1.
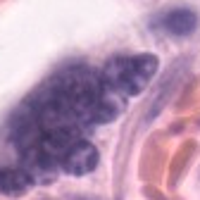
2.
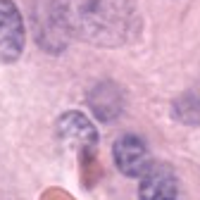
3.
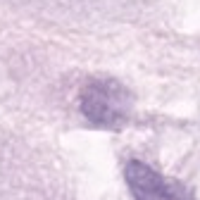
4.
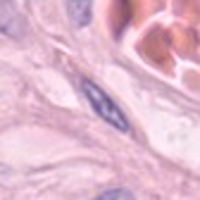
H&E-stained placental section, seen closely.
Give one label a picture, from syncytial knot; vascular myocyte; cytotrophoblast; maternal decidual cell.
1. syncytial knot
2. cytotrophoblast
3. maternal decidual cell
4. vascular myocyte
